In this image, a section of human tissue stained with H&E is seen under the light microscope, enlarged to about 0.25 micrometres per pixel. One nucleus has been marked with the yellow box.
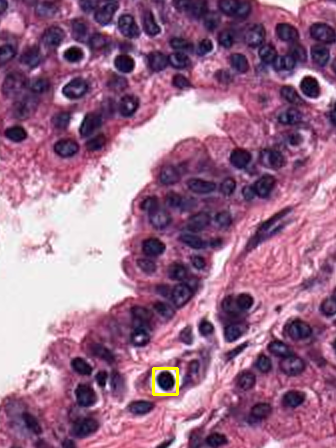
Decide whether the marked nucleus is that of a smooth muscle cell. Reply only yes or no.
no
